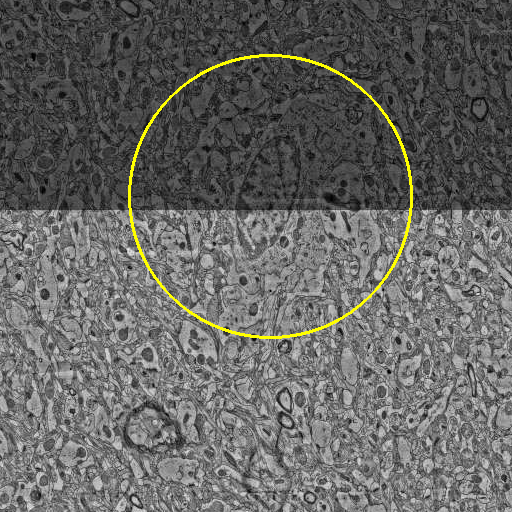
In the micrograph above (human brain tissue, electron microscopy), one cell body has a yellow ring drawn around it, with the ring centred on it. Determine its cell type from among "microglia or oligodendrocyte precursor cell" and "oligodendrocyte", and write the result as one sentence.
The cell whose body is ringed is a microglial cell or oligodendrocyte precursor cell.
